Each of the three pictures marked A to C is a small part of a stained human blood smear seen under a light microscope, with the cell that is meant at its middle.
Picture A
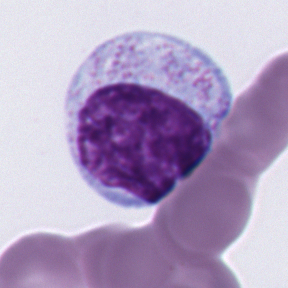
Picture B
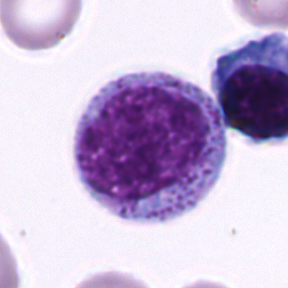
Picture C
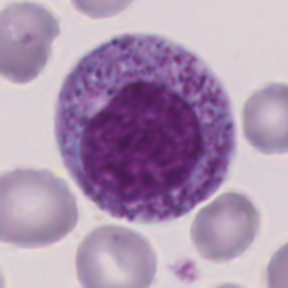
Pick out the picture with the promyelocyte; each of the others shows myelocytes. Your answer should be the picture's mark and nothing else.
C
